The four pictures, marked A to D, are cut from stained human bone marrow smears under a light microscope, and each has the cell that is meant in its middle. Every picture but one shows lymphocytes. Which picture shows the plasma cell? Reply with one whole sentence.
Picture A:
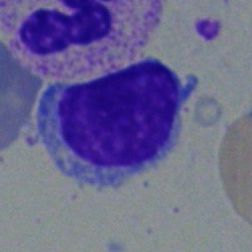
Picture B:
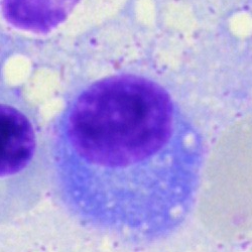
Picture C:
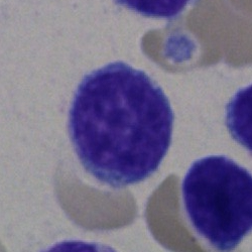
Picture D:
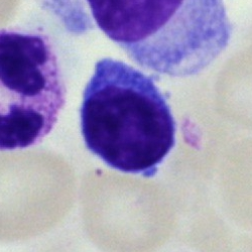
Picture B shows the plasma cell.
